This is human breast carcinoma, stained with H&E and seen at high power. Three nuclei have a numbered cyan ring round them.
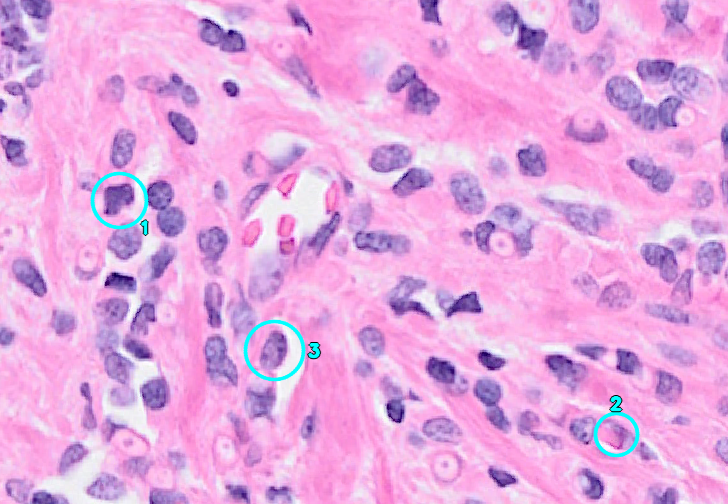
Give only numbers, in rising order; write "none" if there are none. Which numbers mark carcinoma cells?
1, 3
